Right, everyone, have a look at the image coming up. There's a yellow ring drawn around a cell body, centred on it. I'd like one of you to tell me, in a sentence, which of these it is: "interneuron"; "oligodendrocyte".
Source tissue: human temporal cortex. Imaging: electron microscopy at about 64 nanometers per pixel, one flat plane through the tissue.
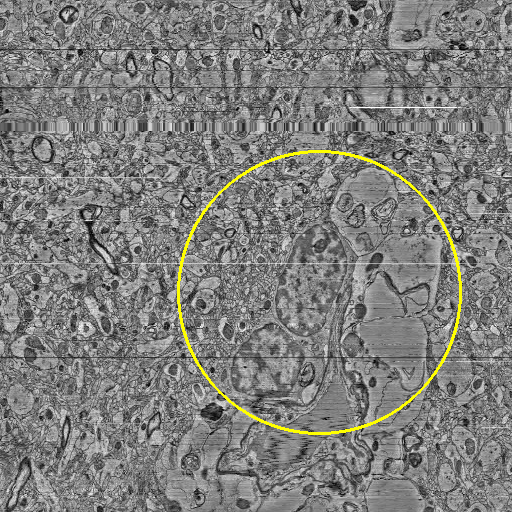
The yellow ring sits on an oligodendrocyte.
